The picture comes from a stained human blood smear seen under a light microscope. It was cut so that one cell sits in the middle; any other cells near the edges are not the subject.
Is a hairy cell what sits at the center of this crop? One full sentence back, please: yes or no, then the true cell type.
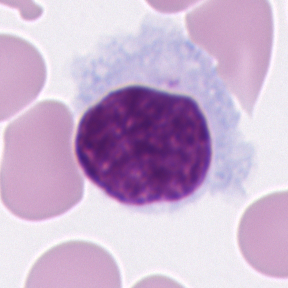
Yes, in the middle of the crop is a hairy cell.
